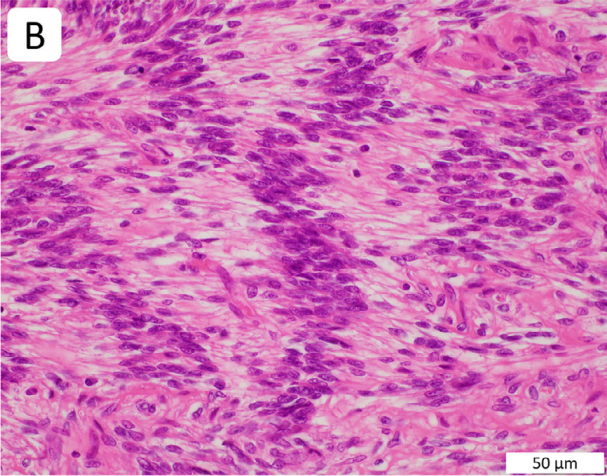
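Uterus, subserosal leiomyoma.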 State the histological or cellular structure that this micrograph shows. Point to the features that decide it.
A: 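Nuclear palisading. Elongated dark nuclei line up side by side in parallel rows. The rows of nuclei form bands running across the field.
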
